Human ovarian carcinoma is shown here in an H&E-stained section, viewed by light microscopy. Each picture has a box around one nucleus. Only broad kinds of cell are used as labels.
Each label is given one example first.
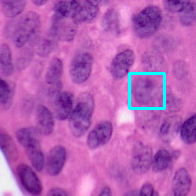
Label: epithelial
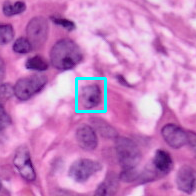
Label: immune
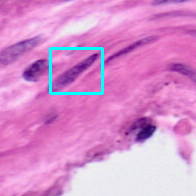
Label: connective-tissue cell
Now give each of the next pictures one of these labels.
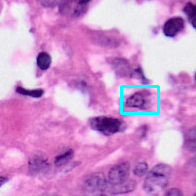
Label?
immune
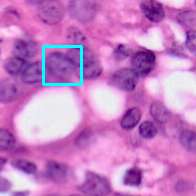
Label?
epithelial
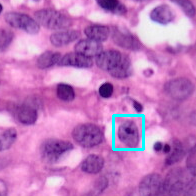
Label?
immune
